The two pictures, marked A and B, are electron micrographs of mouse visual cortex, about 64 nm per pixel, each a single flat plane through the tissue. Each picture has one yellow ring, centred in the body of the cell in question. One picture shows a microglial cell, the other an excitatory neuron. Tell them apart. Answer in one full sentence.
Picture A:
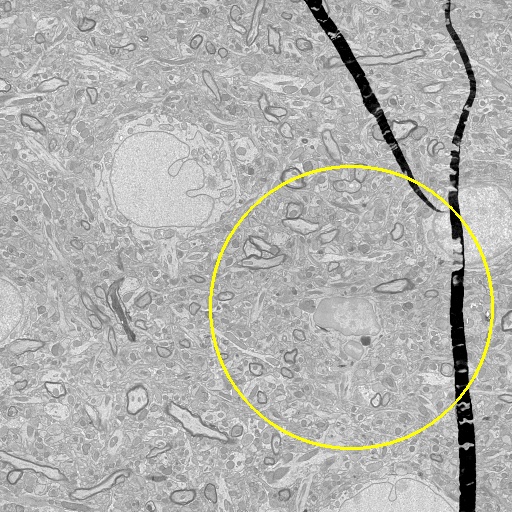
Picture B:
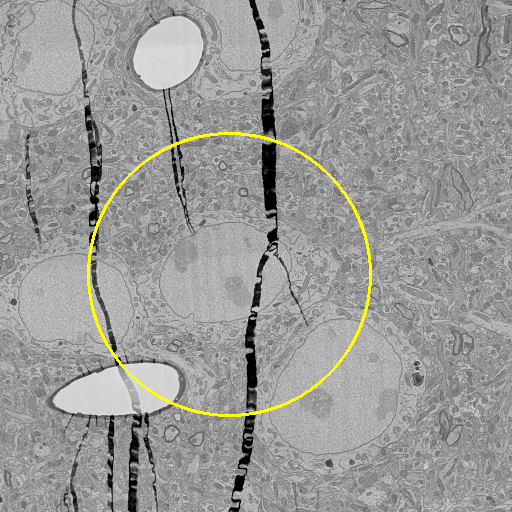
In picture A the cell is a microglial cell; in picture B, an excitatory neuron.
